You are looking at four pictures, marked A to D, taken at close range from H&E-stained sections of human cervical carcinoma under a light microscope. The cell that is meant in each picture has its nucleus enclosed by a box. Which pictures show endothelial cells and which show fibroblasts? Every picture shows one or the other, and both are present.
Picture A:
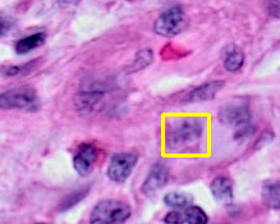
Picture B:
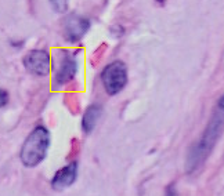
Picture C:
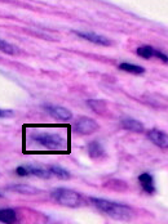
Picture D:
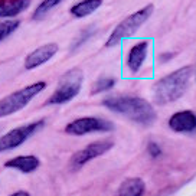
A: fibroblast
B: endothelial cell
C: fibroblast
D: fibroblast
